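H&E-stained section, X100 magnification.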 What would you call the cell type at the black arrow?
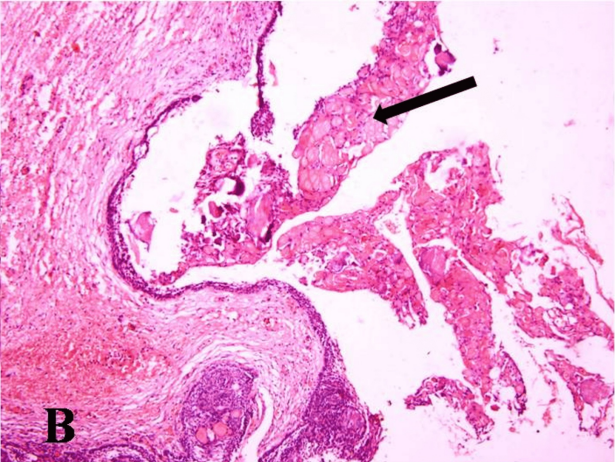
ghost cells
